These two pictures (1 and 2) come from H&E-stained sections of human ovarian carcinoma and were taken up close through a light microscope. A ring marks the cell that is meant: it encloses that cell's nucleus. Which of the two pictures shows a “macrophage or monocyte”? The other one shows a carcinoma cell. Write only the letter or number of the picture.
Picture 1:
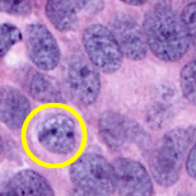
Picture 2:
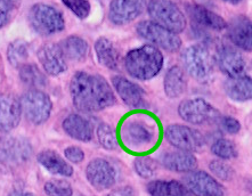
1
